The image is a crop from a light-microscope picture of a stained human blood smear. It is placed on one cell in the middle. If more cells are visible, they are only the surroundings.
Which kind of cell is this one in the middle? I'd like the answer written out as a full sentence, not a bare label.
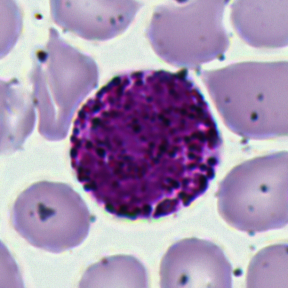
The crop's centre is taken up by a basophil.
